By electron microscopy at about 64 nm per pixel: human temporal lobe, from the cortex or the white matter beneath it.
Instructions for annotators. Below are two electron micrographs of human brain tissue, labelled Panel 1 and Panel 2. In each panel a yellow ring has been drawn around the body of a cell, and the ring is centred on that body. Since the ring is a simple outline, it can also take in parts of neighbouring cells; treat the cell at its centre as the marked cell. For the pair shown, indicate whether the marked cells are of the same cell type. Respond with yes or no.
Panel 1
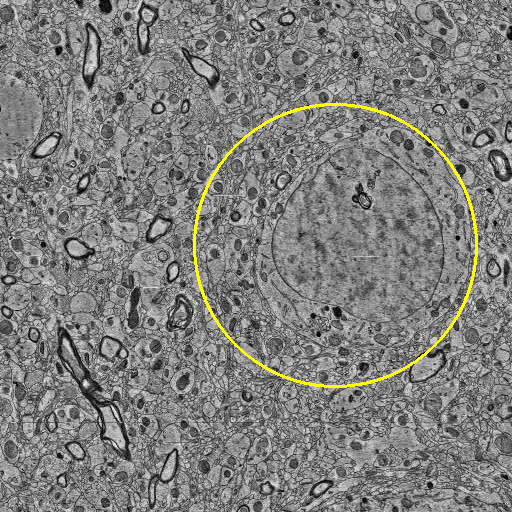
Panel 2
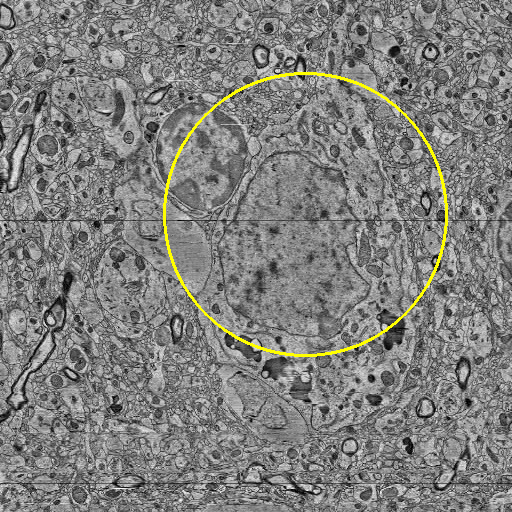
yes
